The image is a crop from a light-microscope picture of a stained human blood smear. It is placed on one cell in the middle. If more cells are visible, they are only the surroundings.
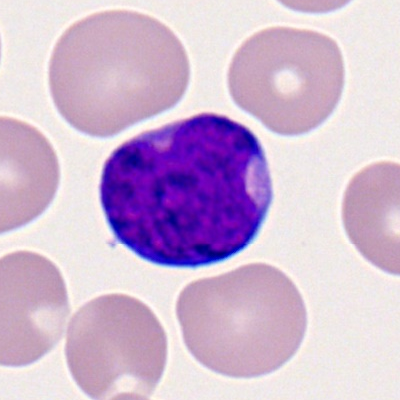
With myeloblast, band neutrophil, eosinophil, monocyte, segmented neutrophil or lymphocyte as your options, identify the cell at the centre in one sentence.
Where the crop is centred, there is a myeloblast.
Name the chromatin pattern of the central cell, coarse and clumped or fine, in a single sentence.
Chromatin in the nucleus here is coarsely clumped.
